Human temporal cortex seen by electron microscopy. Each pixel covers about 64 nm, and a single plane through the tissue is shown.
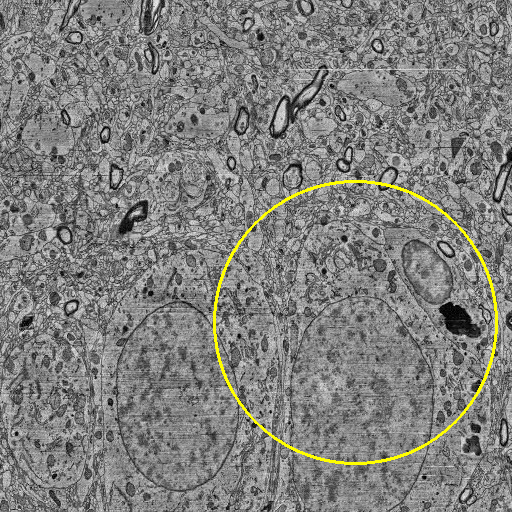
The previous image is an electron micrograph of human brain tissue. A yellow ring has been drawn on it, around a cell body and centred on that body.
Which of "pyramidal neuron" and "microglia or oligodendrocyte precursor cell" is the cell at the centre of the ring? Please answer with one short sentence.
The cell body at the centre of the ring belongs to a pyramidal neuron.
